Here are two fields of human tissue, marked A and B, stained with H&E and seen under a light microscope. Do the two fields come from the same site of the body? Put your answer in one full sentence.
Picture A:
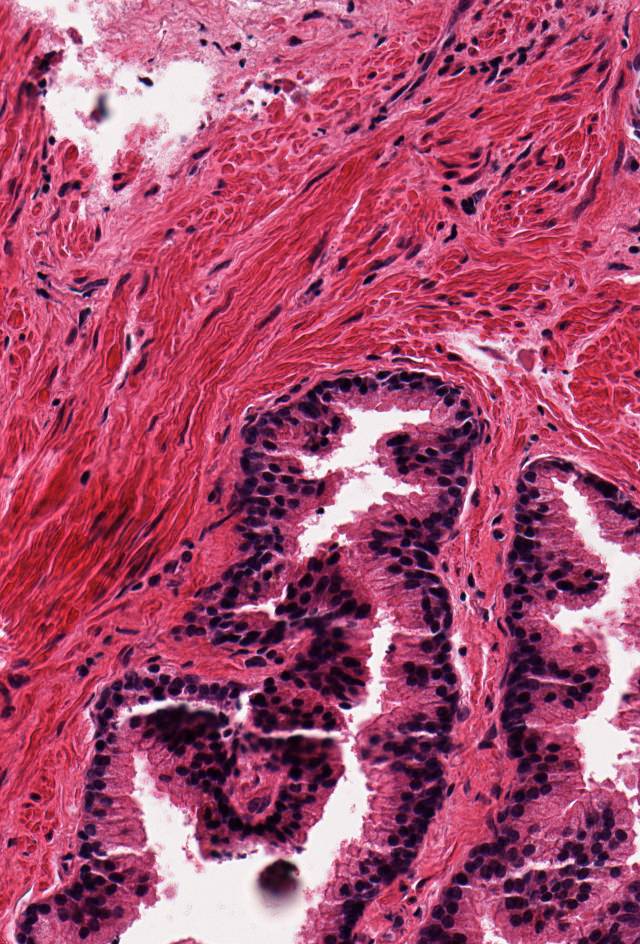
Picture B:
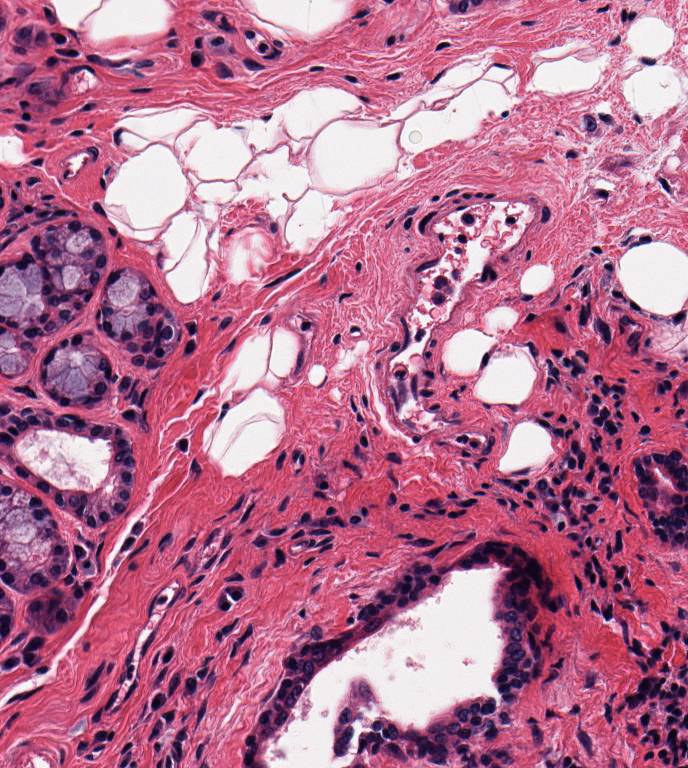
No, they differ: picture A comes from the prostate, and picture B comes from a minor salivary gland.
